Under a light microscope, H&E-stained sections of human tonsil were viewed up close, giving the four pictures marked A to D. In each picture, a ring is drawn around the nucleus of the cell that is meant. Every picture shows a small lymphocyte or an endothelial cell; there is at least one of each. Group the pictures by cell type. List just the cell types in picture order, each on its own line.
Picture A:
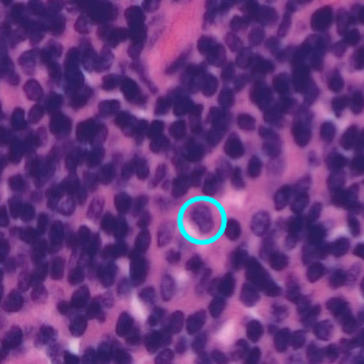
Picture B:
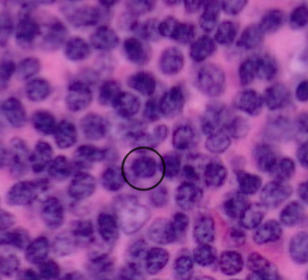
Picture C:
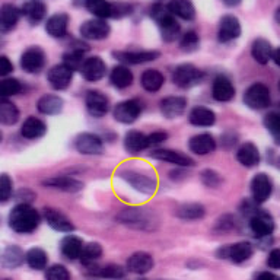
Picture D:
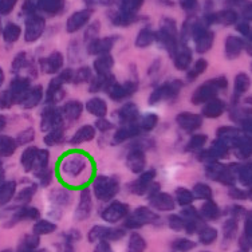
endothelial cell
small lymphocyte
endothelial cell
endothelial cell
